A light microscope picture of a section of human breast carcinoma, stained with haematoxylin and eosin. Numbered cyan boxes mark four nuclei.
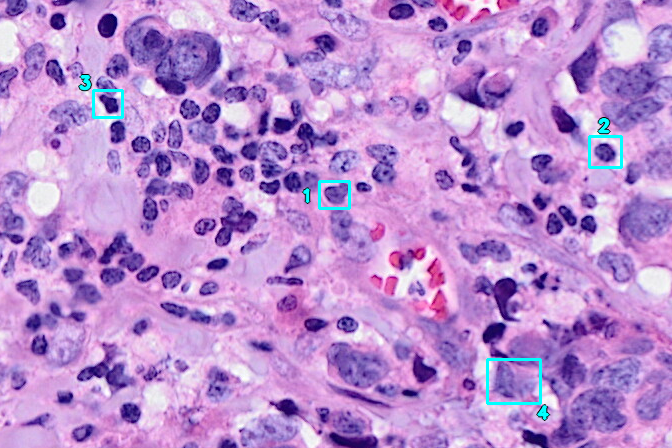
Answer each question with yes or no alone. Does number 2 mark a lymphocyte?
yes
